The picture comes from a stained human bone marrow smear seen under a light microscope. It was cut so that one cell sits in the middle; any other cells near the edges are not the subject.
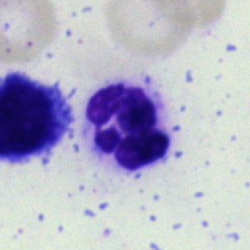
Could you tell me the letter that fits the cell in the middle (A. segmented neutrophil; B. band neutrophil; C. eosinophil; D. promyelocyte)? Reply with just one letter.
A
